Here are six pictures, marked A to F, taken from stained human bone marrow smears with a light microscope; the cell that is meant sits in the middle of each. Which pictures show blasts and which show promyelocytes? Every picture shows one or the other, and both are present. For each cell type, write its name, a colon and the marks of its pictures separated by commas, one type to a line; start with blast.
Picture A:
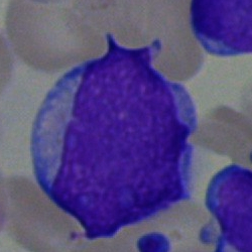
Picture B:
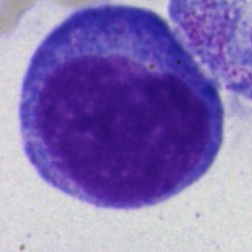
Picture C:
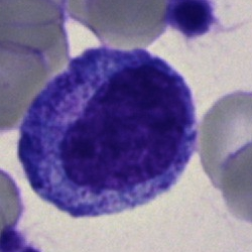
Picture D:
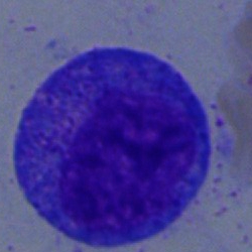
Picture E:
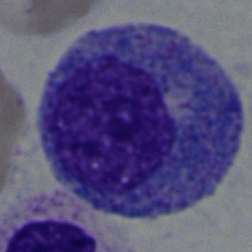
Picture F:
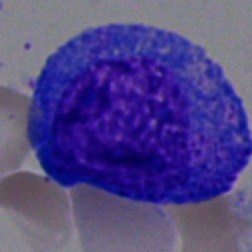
blast: A, B
promyelocyte: C, D, E, F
